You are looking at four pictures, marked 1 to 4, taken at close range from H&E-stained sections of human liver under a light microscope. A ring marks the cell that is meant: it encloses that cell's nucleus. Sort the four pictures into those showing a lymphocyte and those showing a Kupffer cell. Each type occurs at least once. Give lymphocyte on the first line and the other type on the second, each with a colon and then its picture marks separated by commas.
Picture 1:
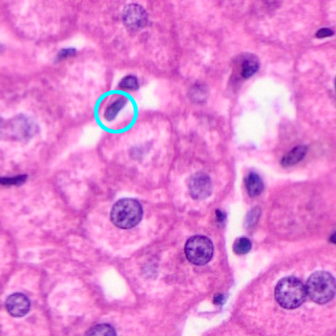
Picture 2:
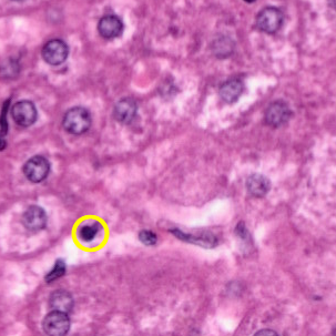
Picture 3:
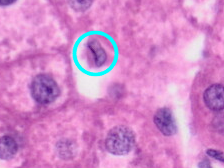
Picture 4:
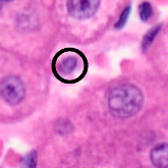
lymphocyte: 1, 2
Kupffer cell: 3, 4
